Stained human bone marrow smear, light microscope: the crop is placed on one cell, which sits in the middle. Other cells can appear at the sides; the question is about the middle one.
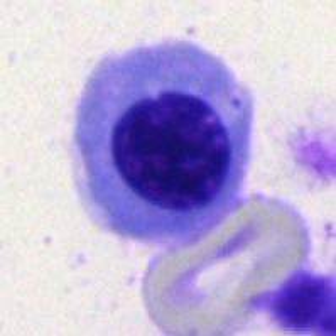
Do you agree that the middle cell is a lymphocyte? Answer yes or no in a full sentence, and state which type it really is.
No, in this crop the central cell is an erythroblast instead of a lymphocyte.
